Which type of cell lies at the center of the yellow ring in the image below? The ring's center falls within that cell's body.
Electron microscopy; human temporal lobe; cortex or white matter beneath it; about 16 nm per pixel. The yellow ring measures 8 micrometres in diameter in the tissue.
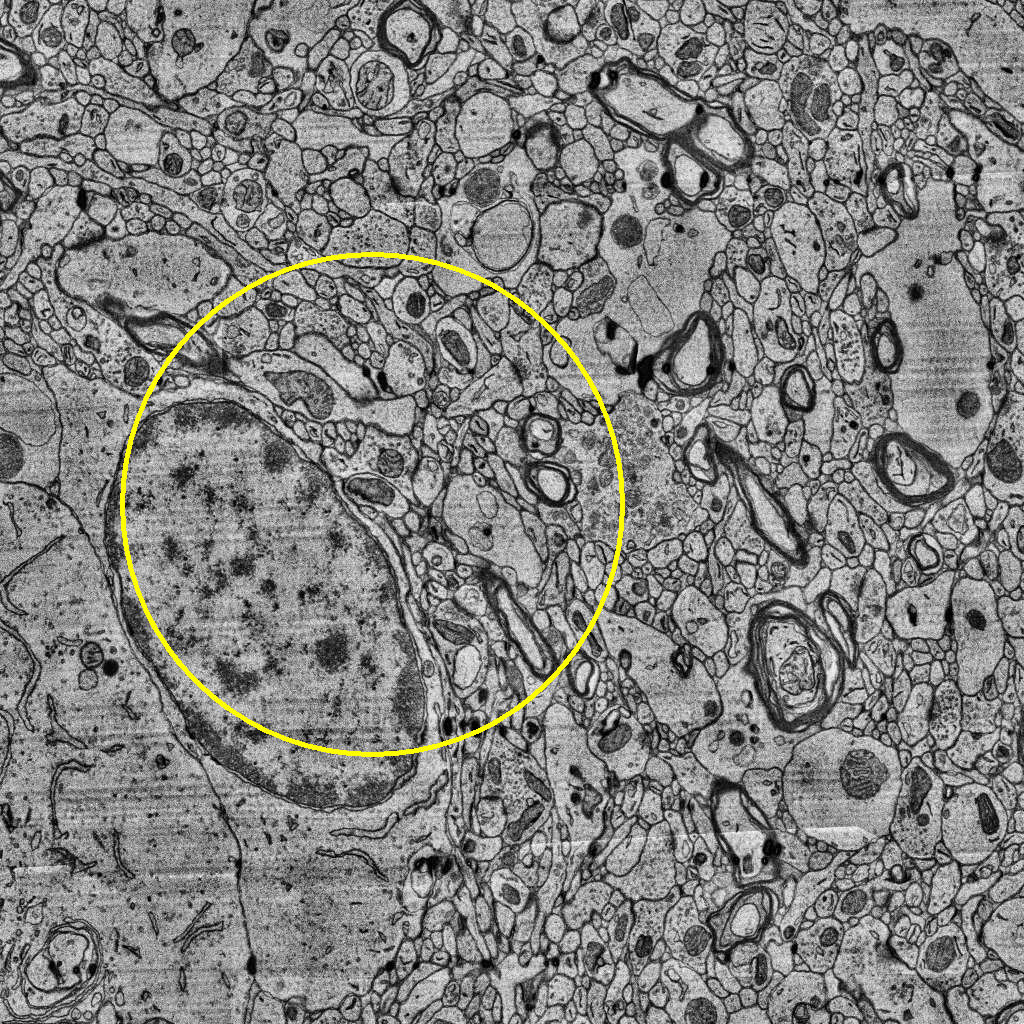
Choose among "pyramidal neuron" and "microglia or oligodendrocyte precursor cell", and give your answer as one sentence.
The cell body at the center belongs to a microglial cell or oligodendrocyte precursor cell.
